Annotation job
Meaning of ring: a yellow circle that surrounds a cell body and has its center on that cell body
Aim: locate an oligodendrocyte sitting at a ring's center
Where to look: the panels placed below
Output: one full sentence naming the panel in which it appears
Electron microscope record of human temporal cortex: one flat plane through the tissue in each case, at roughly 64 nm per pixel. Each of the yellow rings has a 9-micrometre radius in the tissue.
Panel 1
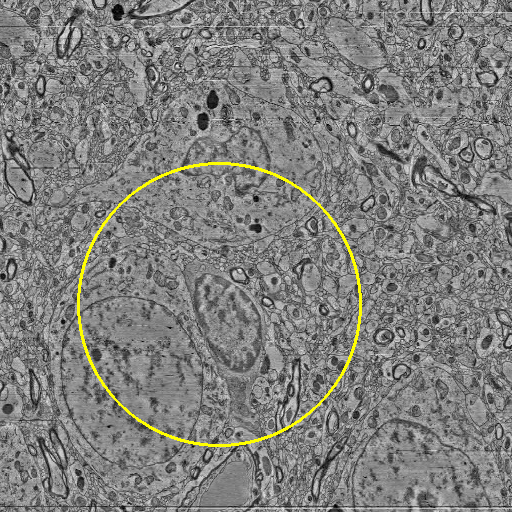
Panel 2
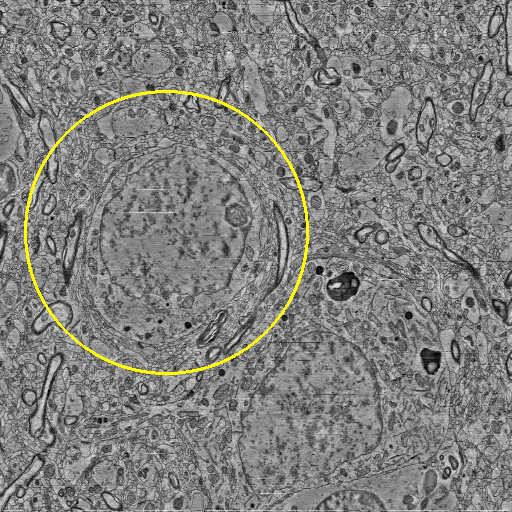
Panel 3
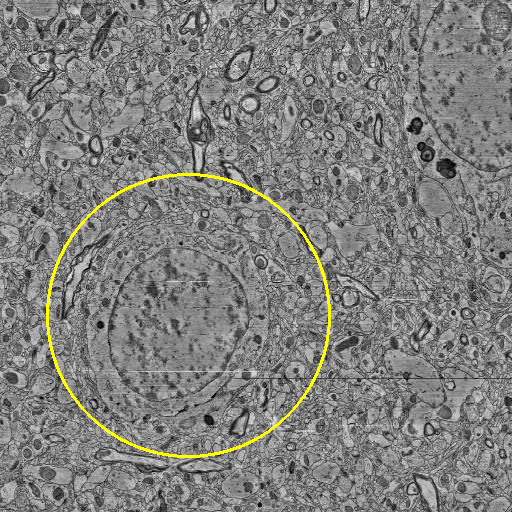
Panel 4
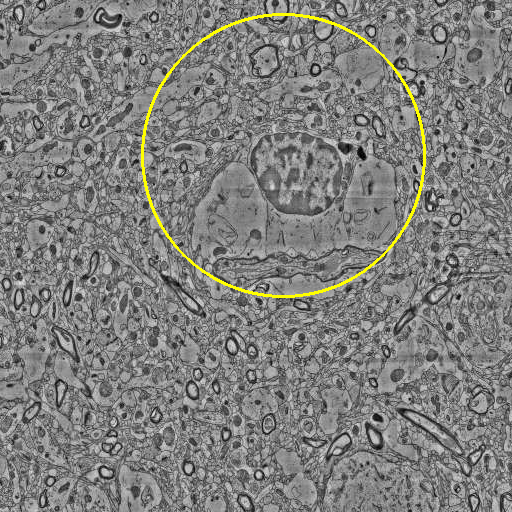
The cell at the center of the ring in panel 1 is the one sought.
